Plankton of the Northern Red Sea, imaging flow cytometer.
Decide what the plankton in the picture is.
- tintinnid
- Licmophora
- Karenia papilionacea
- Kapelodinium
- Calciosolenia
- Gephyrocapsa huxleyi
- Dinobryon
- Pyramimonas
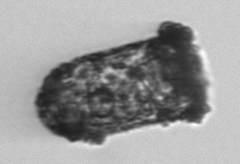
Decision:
tintinnid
